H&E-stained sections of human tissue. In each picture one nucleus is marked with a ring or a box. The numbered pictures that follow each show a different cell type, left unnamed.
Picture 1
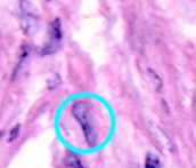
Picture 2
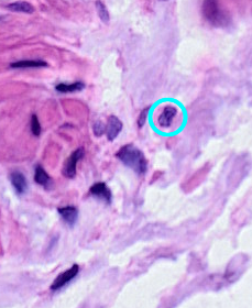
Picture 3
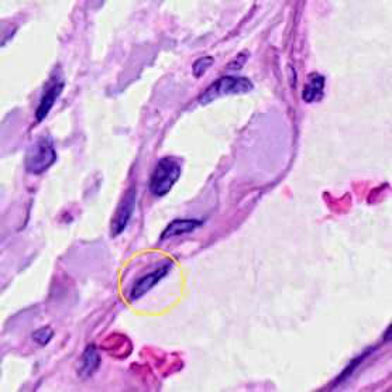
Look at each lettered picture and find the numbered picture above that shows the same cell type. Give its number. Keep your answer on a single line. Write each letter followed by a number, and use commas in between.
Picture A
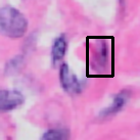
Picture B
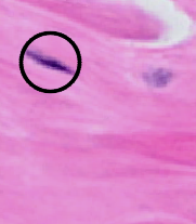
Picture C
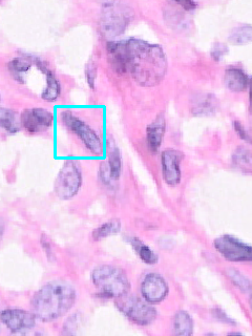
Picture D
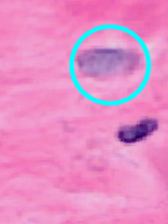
A 3, B 1, C 3, D 1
